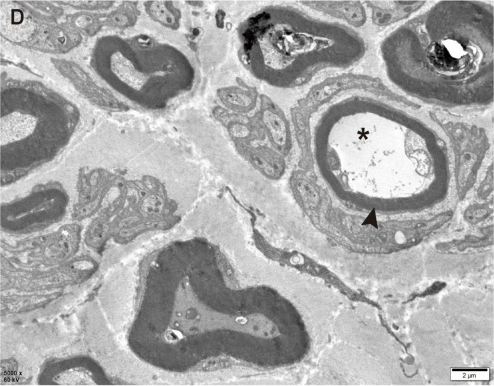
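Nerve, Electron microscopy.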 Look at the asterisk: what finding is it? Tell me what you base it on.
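The axon at the asterisk is pale and nearly empty, with scattered fragmented material. Its surrounding myelin ring is intact but the axoplasm is lost. That points to this answer: axonal degeneration.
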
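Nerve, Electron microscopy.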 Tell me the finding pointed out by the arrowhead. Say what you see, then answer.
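The dark myelin sheath at the arrowhead is thin relative to the large axon it encloses. Other fibers in the field have much thicker dark sheaths.
Thinly myelinated fibers.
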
